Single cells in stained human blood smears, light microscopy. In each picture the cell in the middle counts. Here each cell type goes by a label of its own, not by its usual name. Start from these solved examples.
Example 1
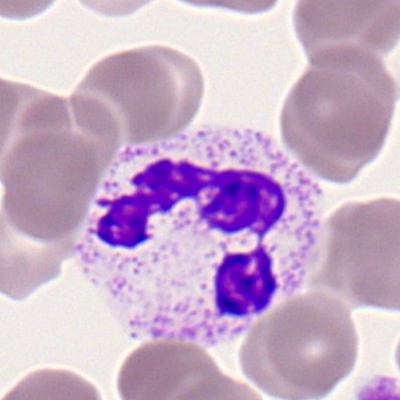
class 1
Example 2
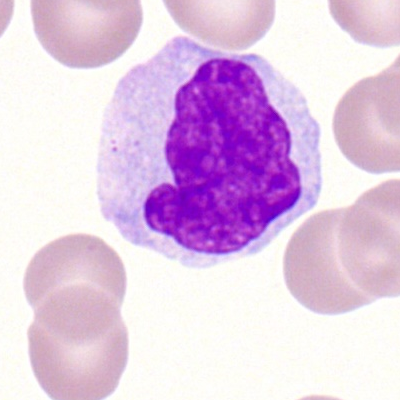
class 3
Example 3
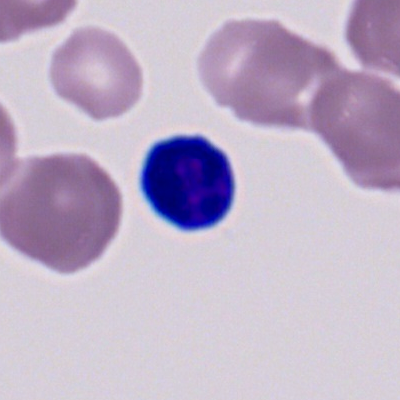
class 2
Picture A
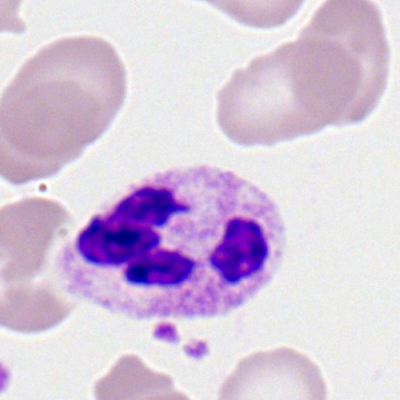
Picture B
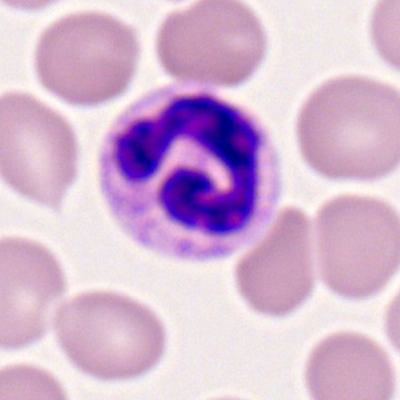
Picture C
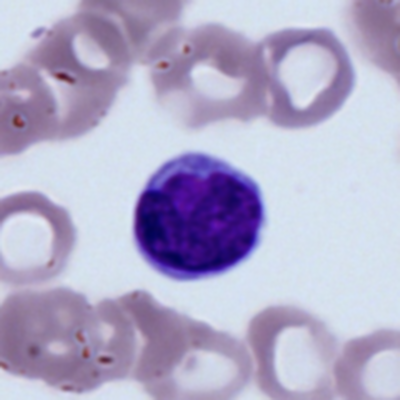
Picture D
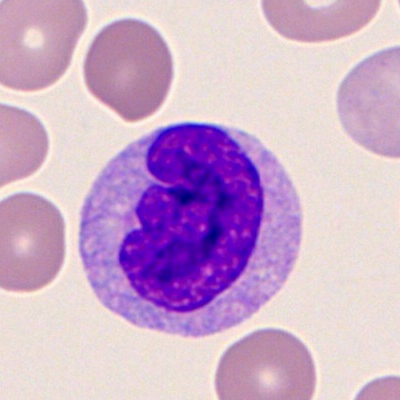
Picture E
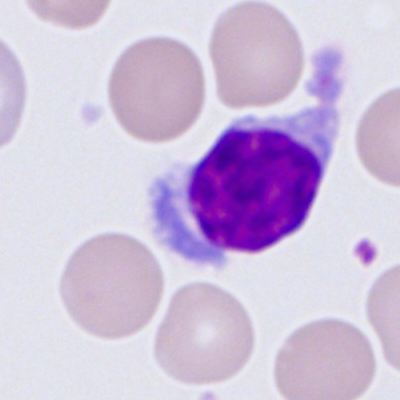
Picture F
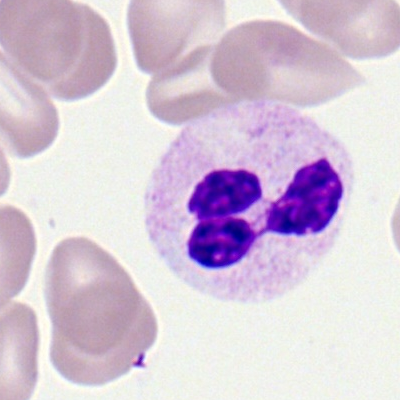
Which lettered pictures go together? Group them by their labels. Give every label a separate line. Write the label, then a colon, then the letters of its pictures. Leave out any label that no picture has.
class 1: A, B, F
class 3: D
class 2: C, E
